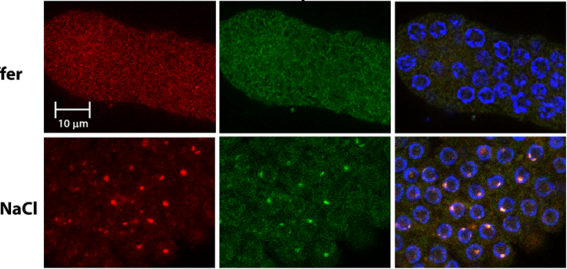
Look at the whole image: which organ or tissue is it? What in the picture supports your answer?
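A tube-shaped tissue with a rounded tip. Many small, round, similar nuclei packed closely together. That points to this answer: distal gonad.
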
